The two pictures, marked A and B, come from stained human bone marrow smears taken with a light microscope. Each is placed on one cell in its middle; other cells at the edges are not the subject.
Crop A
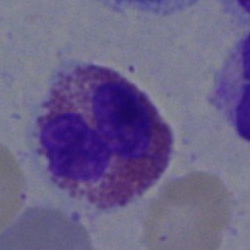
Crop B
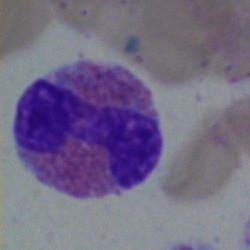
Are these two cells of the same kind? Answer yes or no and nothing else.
yes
